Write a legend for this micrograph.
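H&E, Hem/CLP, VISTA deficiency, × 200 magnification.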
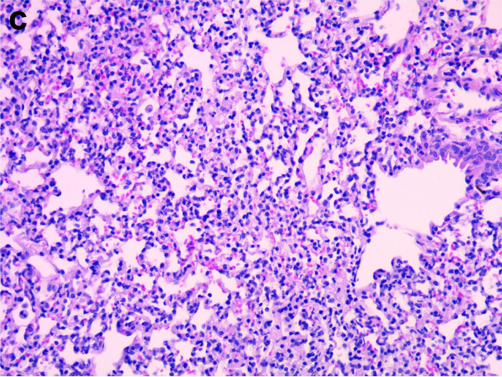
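This is lung tissue in which the normally thin alveolar walls are largely replaced by dense, cell-rich tissue. Crowds of small dark purple nuclei fill the spaces between the few remaining air spaces. The remaining air spaces are small, irregular and scattered. At one edge, part of an airway with a lining of columnar epithelium can be seen.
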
